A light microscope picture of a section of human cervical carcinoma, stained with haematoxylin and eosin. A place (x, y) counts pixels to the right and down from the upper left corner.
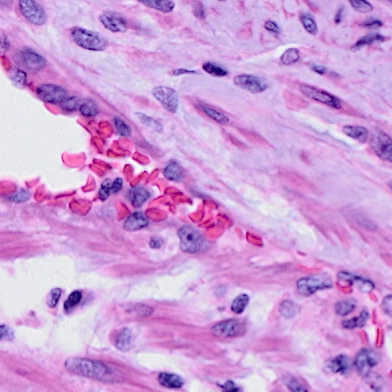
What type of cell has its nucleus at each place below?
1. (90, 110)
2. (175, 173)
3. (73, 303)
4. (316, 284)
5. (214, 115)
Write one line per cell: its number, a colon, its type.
1: endothelial cell
2: endothelial cell
3: lymphocyte
4: endothelial cell
5: smooth muscle cell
